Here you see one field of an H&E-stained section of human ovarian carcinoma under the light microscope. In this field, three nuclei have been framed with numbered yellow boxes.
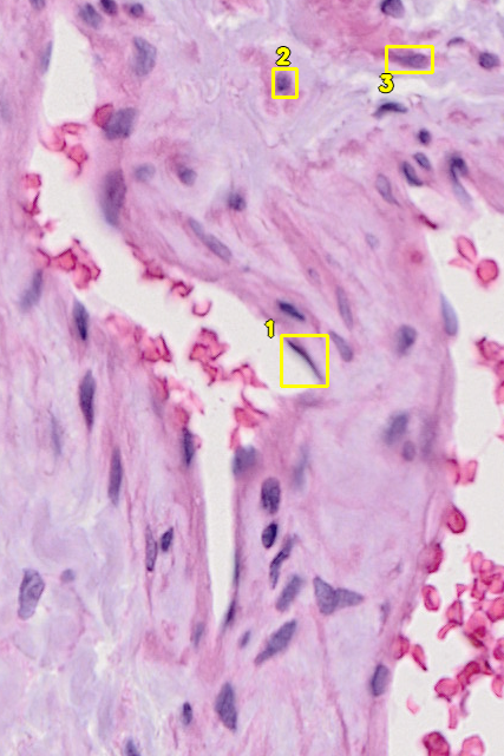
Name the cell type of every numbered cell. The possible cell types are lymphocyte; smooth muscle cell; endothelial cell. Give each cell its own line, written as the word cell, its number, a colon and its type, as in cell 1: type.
cell 1: endothelial cell
cell 2: smooth muscle cell
cell 3: smooth muscle cell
